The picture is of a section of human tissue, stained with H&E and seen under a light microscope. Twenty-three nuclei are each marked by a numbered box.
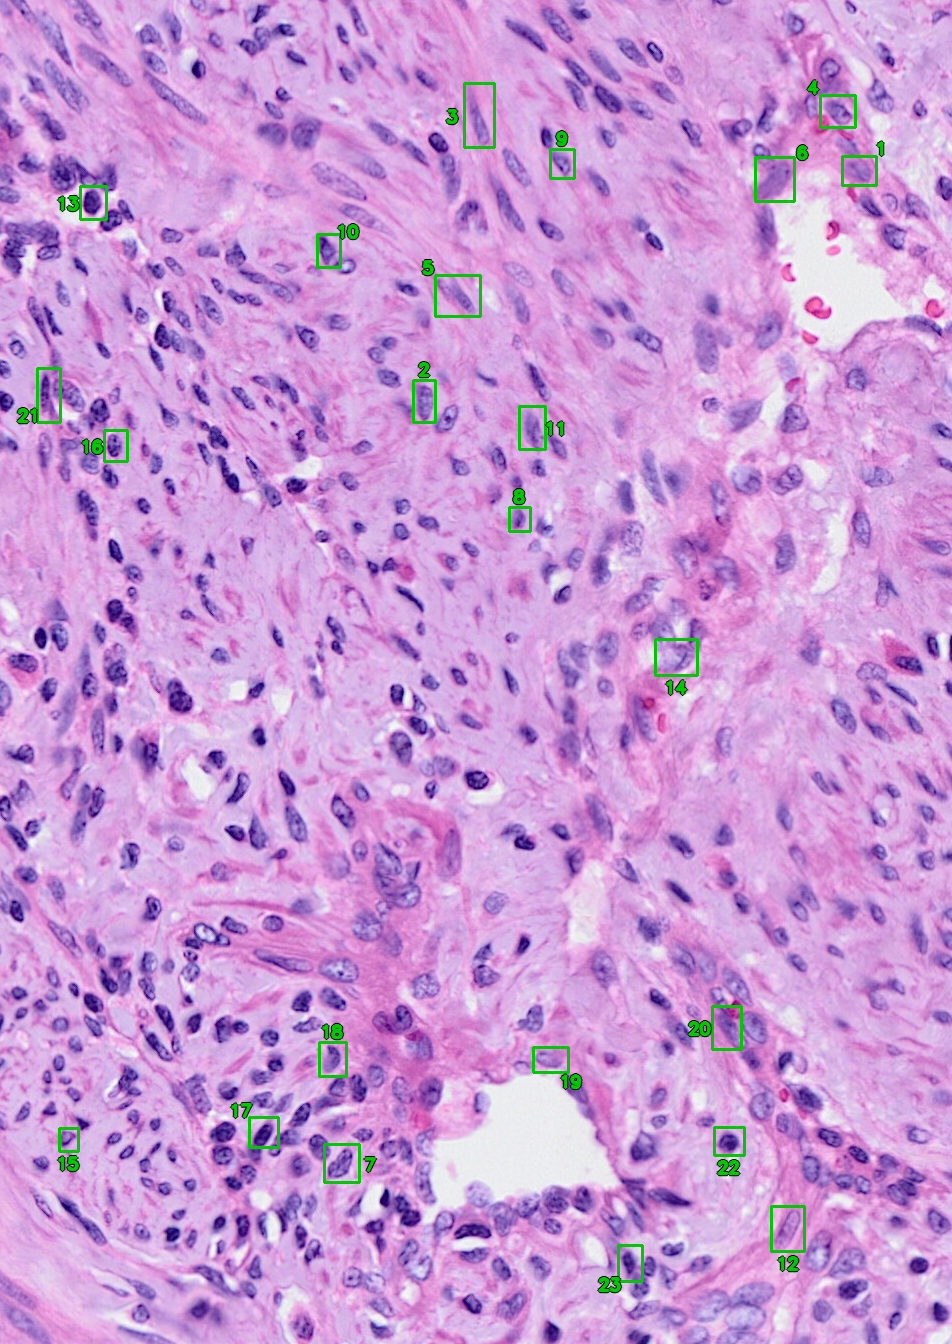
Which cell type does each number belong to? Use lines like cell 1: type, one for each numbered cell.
cell 1: endothelial cell
cell 2: smooth muscle cell
cell 3: smooth muscle cell
cell 4: endothelial cell
cell 5: smooth muscle cell
cell 6: endothelial cell
cell 7: lymphocyte
cell 8: smooth muscle cell
cell 9: smooth muscle cell
cell 10: smooth muscle cell
cell 11: smooth muscle cell
cell 12: endothelial cell
cell 13: lymphocyte
cell 14: endothelial cell
cell 15: smooth muscle cell
cell 16: lymphocyte
cell 17: lymphocyte
cell 18: lymphocyte
cell 19: endothelial cell
cell 20: endothelial cell
cell 21: endothelial cell
cell 22: lymphocyte
cell 23: lymphocyte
